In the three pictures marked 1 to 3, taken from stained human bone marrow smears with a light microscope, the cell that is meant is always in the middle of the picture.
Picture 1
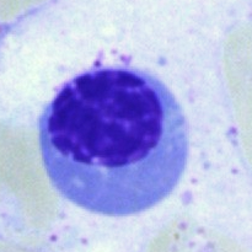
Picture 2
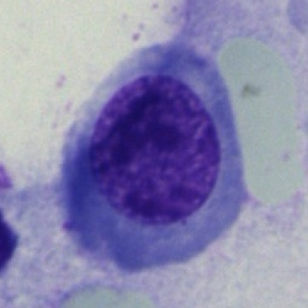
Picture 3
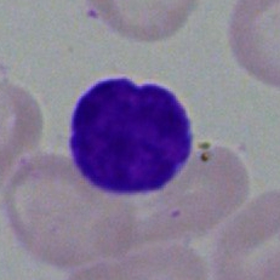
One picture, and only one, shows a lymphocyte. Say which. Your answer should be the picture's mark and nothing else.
3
